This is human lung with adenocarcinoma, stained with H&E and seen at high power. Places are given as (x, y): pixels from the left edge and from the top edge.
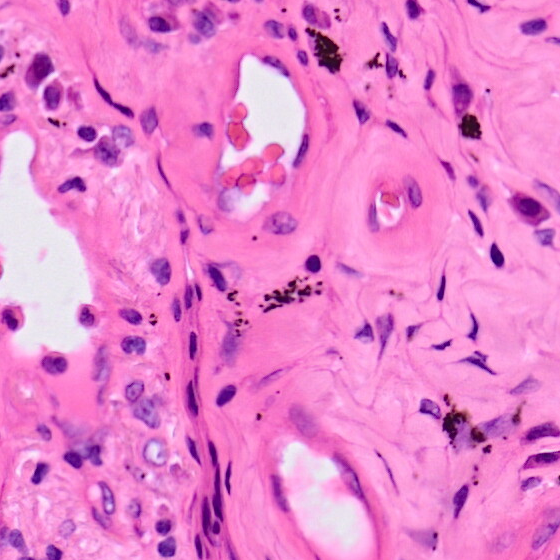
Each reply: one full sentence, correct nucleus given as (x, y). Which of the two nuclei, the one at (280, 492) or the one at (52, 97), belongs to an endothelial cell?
The nucleus at (280, 492) is the one of the two that belongs to an endothelial cell.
